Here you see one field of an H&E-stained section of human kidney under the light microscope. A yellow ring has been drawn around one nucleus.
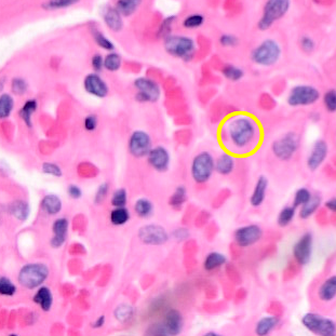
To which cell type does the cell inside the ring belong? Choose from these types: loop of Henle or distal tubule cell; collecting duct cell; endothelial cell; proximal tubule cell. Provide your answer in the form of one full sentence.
It is as an endothelial cell that the cell inside the ring is recorded.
